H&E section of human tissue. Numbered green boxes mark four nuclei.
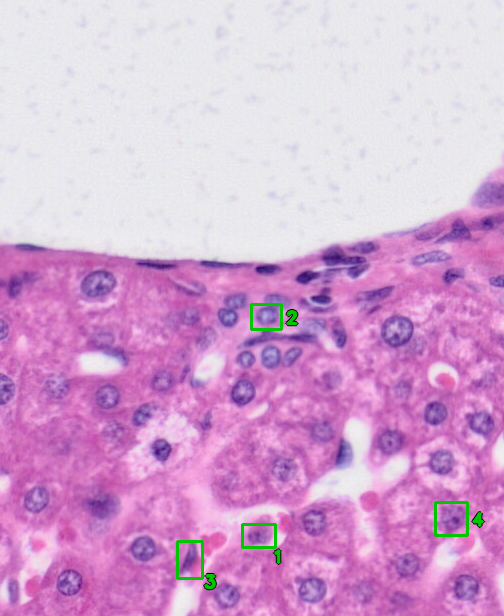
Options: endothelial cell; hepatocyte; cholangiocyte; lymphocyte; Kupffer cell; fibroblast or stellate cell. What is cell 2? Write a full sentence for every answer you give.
The cell that is numbered 2 is a cholangiocyte.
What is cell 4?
In the tissue shown, cell 4 is a hepatocyte.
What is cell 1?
The cell marked with the number 1 is a Kupffer cell.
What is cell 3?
Cell 3, among those numbered, is an endothelial cell.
